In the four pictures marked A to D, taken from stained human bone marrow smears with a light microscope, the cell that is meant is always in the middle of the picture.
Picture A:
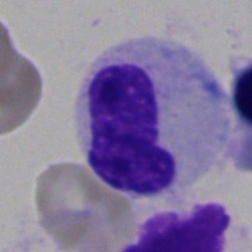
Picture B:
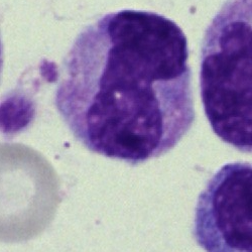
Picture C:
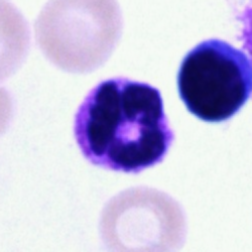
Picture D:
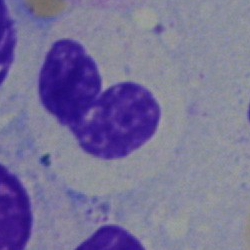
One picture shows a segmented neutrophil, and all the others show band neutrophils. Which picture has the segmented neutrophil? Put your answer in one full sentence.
Picture C is the one that shows the segmented neutrophil.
